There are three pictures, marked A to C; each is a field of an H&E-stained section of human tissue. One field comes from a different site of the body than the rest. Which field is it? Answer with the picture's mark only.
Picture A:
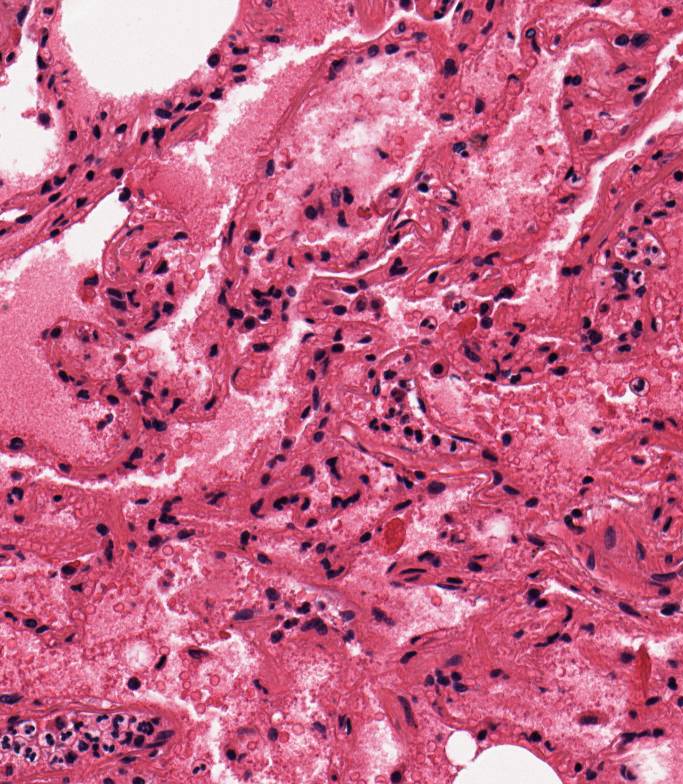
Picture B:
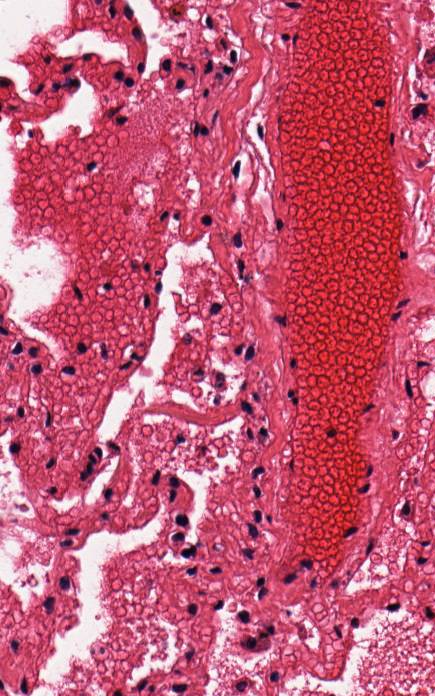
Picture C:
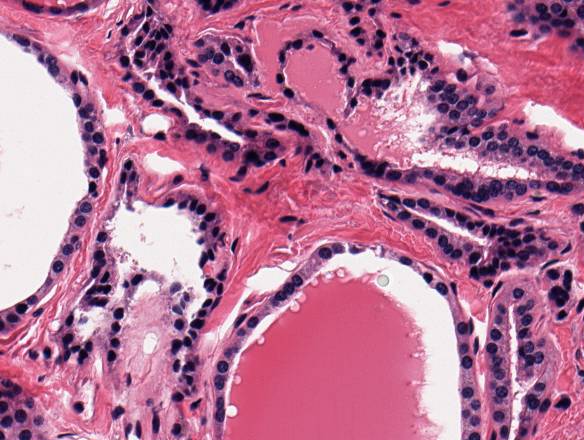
C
